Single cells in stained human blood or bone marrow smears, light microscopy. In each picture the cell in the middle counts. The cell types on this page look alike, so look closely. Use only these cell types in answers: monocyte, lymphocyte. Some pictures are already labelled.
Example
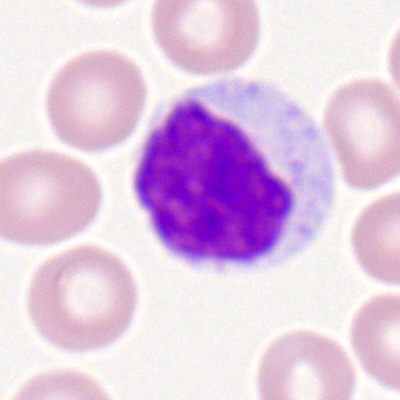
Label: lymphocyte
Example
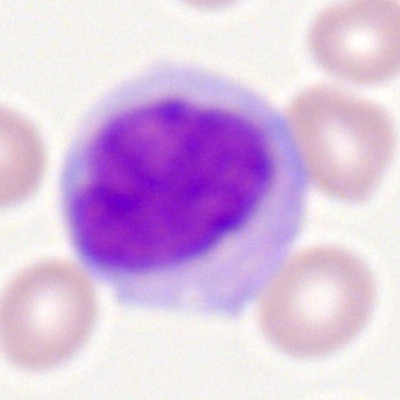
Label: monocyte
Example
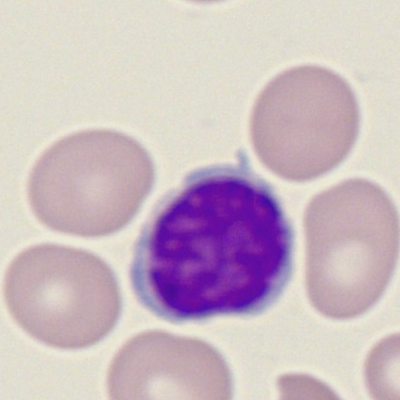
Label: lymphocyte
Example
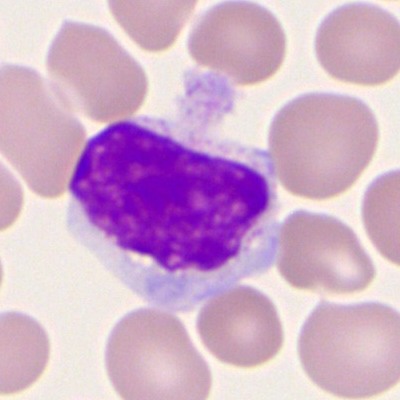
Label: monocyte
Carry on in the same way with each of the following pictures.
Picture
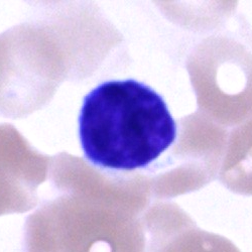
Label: lymphocyte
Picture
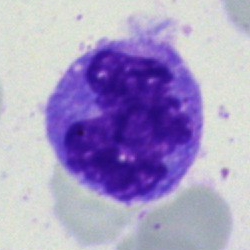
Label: monocyte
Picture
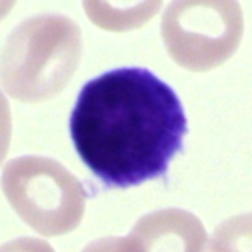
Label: lymphocyte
